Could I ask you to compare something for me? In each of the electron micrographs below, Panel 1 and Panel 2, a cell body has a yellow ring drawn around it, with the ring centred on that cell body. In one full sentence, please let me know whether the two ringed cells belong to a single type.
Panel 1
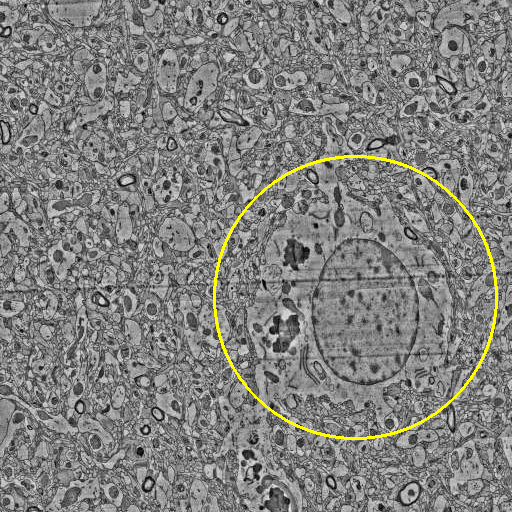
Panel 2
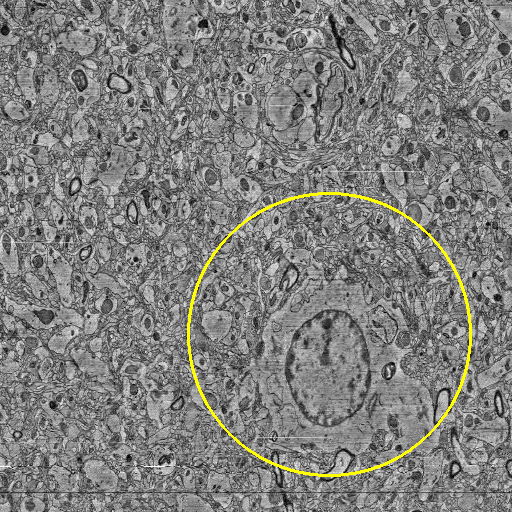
Yes, the two cells at the centres of the rings are of one type.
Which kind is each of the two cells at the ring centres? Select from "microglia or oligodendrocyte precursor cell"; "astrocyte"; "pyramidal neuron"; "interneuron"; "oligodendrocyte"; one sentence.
Both pictures show an astrocyte at the centre of the ring.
